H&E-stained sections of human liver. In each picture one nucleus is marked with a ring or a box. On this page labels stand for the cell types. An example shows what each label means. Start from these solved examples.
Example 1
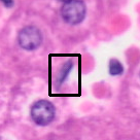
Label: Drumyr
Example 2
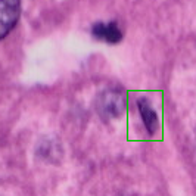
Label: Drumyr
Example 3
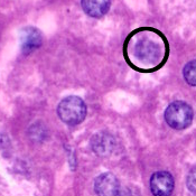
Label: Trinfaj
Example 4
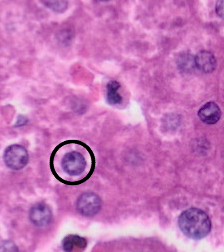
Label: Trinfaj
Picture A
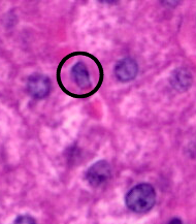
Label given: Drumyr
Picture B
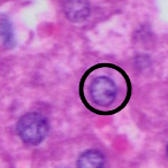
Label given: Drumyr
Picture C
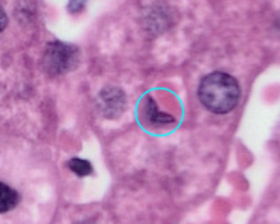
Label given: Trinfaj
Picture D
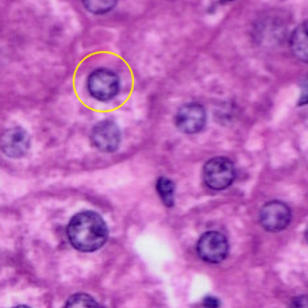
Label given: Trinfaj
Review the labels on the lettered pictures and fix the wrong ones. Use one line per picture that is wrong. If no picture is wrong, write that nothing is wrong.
B: Trinfaj, not Drumyr
C: Drumyr, not Trinfaj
